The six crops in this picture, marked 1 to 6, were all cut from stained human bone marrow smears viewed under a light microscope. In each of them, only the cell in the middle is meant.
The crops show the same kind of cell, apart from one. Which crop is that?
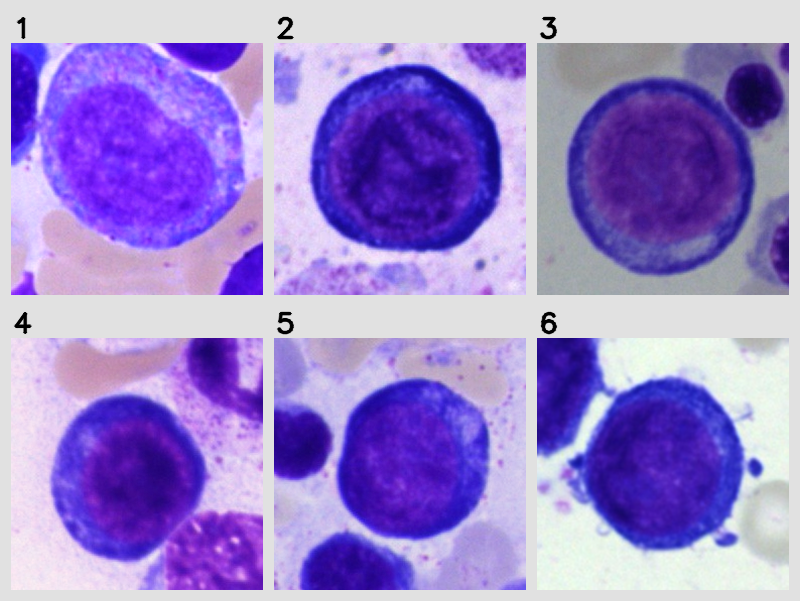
1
